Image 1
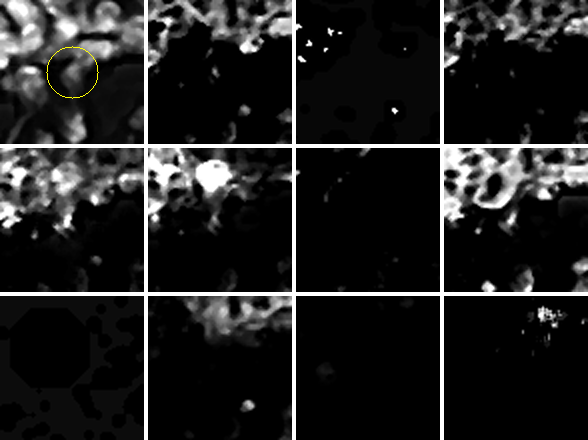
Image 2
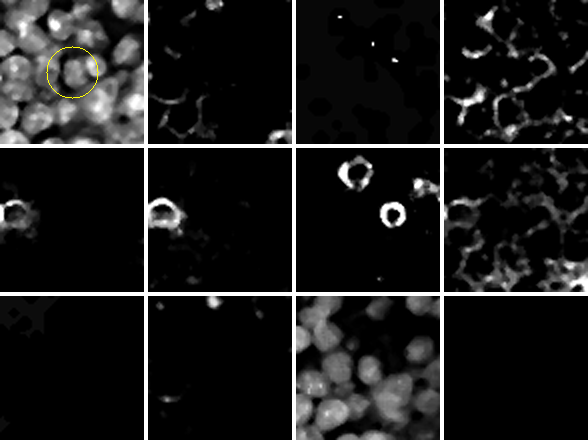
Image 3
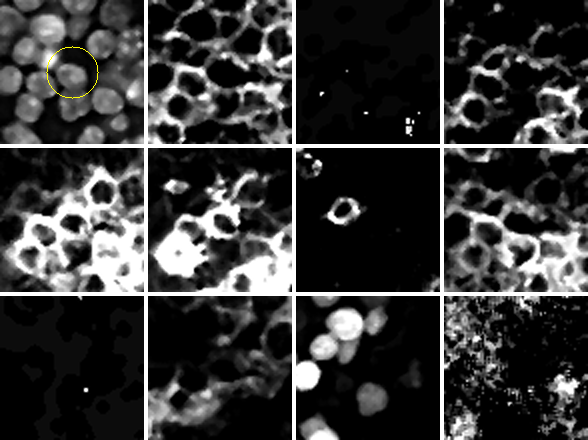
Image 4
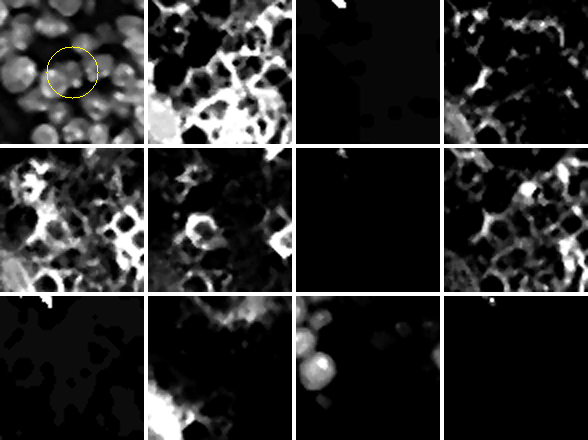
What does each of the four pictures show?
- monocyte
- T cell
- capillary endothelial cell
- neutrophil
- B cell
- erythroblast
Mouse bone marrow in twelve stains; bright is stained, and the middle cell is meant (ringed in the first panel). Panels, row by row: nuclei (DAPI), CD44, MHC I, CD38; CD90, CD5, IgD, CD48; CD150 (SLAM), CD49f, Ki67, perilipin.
1. T cell
2. erythroblast
3. T cell
4. neutrophil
